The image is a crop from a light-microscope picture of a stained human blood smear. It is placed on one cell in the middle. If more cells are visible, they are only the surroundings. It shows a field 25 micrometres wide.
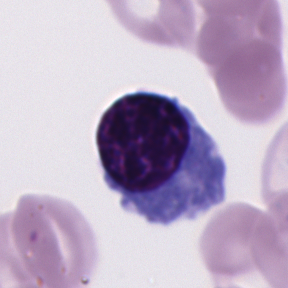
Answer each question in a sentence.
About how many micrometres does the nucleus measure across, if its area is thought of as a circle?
It measures about 8 micrometres across.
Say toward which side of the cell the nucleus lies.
Seen from the middle of the cell, the nucleus lies toward the upper left.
